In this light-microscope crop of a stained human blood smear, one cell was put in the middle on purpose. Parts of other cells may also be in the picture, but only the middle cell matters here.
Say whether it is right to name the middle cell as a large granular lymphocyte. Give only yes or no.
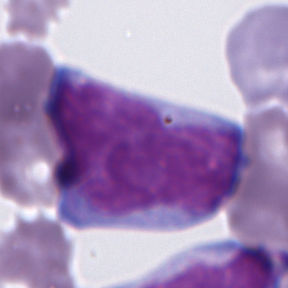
no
